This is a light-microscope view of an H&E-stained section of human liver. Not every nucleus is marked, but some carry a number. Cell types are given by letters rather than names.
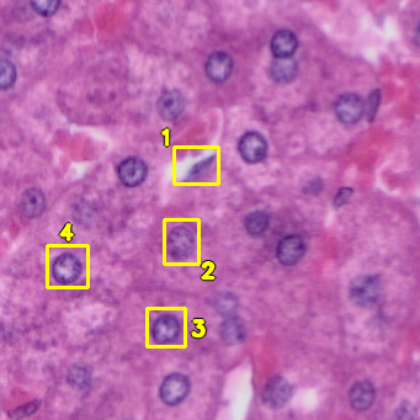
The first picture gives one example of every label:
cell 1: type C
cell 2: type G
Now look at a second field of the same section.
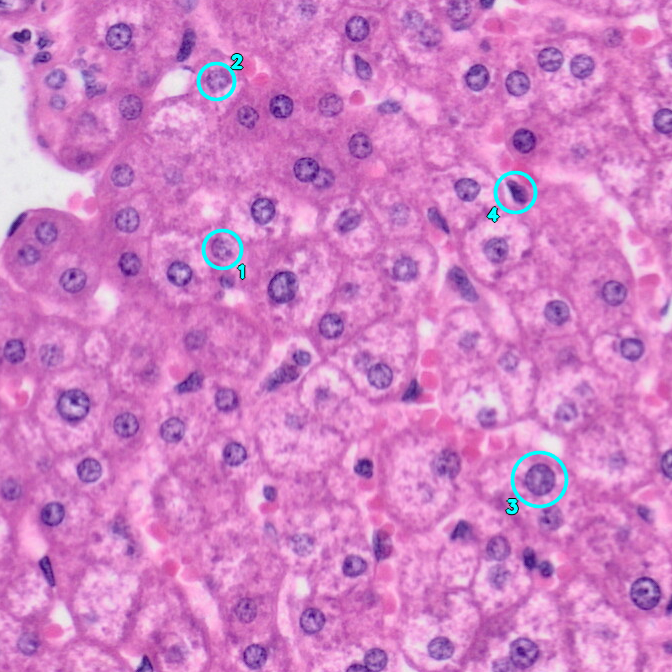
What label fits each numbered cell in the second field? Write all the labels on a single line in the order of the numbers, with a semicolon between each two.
type G; type G; type G; type C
